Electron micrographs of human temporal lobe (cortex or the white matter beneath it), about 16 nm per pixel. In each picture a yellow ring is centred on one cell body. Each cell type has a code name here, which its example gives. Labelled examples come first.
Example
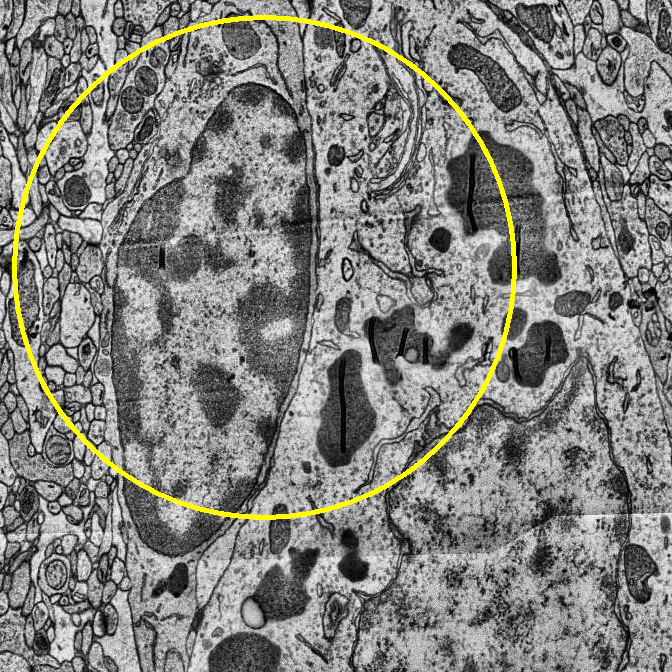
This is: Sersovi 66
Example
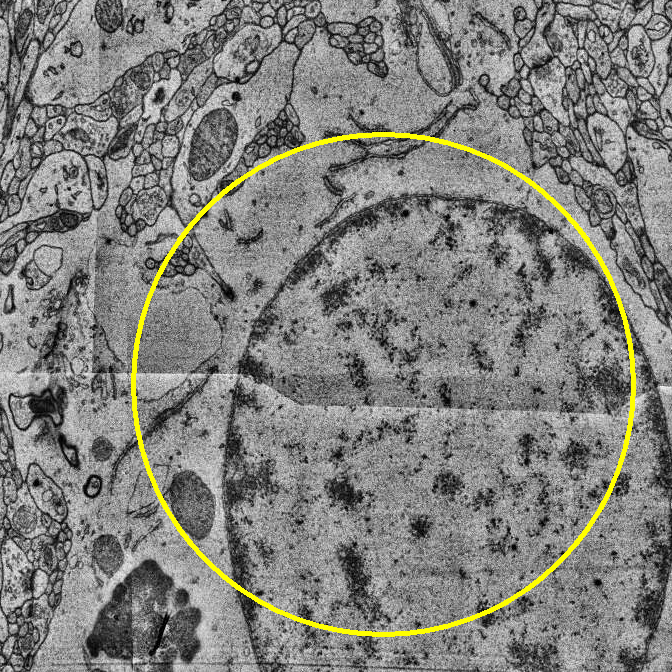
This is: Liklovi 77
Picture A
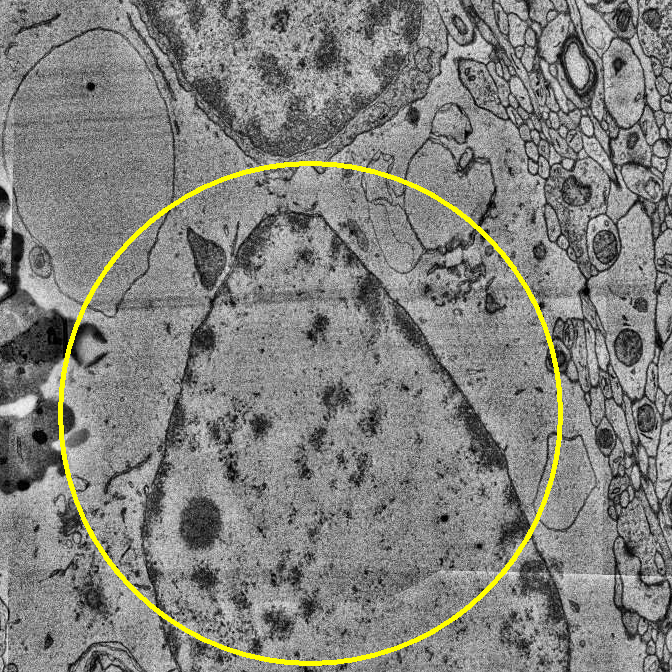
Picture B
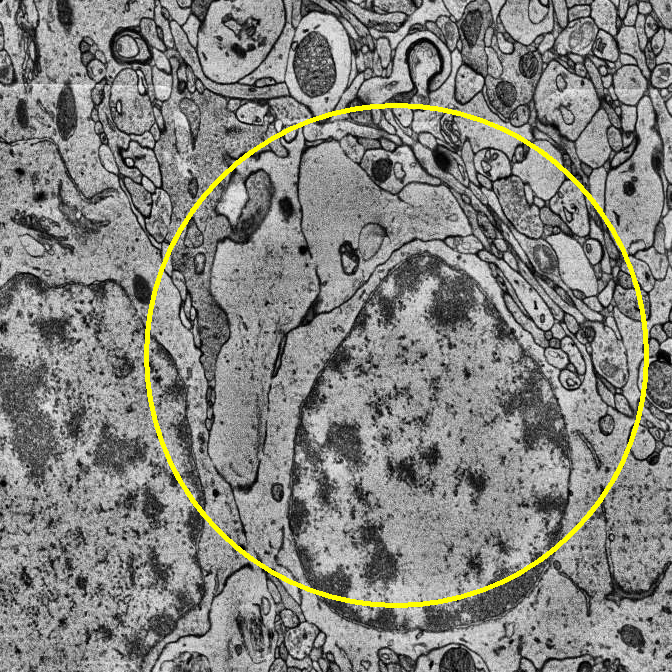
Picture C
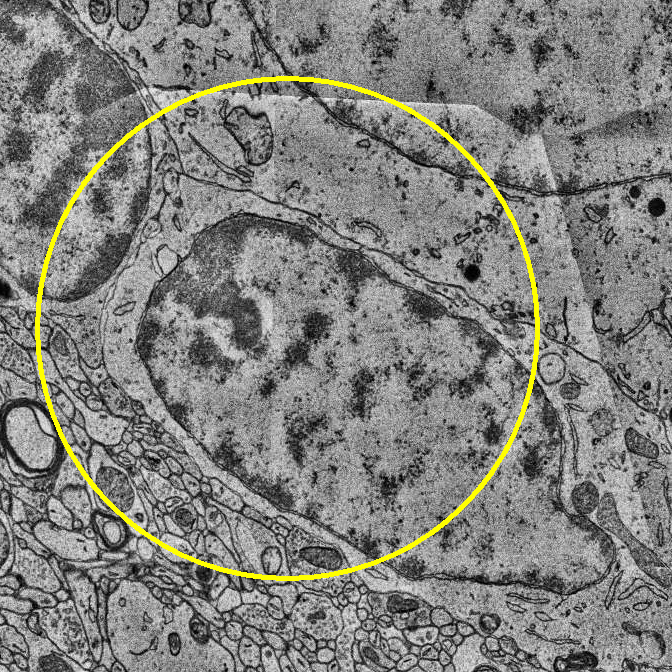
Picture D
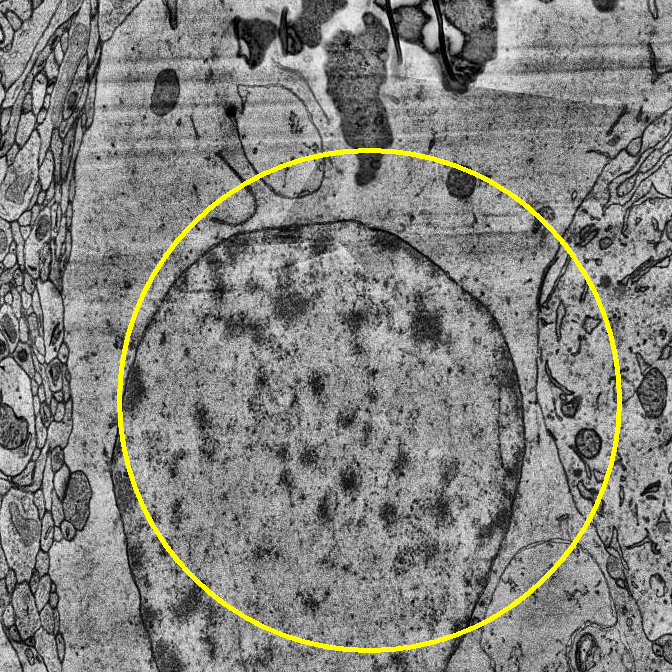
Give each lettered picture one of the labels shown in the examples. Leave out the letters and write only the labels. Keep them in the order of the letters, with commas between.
Liklovi 77, Liklovi 77, Sersovi 66, Liklovi 77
